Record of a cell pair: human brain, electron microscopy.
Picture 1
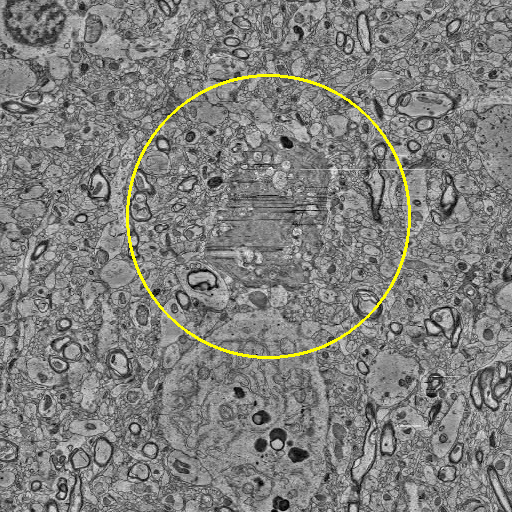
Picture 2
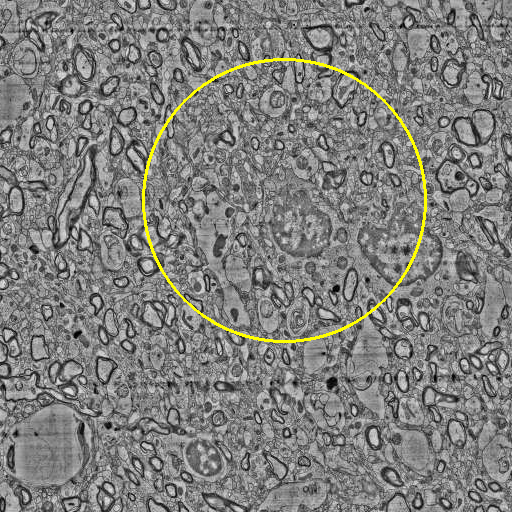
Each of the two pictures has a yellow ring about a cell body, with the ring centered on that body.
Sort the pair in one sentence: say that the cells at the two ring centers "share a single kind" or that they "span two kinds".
The cells centered in the rings of Pictures 1 and 2 span two kinds.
